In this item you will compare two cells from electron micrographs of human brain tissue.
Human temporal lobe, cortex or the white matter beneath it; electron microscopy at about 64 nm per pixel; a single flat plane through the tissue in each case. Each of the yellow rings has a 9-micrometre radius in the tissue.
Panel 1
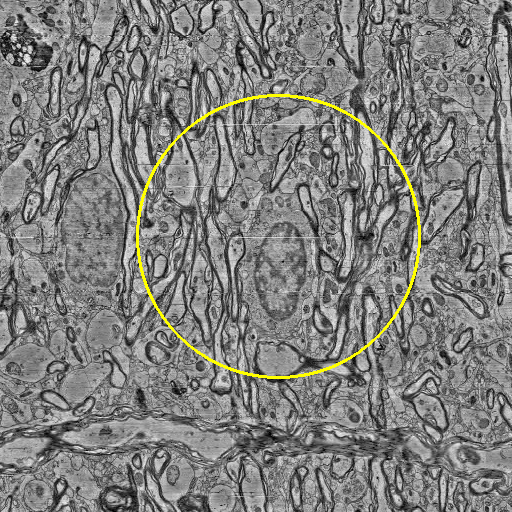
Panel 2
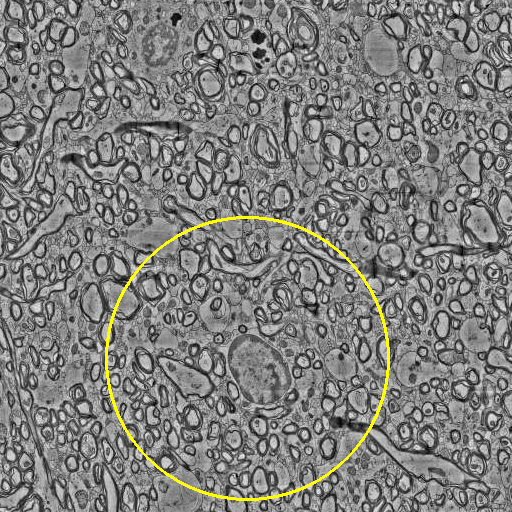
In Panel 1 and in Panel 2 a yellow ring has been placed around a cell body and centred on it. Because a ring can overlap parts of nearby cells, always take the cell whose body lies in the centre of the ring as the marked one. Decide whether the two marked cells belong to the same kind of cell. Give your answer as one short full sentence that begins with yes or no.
No, the two marked cells belong to two kinds of cell.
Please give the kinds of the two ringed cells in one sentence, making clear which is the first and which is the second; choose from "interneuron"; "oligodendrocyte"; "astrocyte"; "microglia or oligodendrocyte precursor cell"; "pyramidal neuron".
In the second picture the ringed cell is a microglial cell or oligodendrocyte precursor cell; in the first it is an oligodendrocyte.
